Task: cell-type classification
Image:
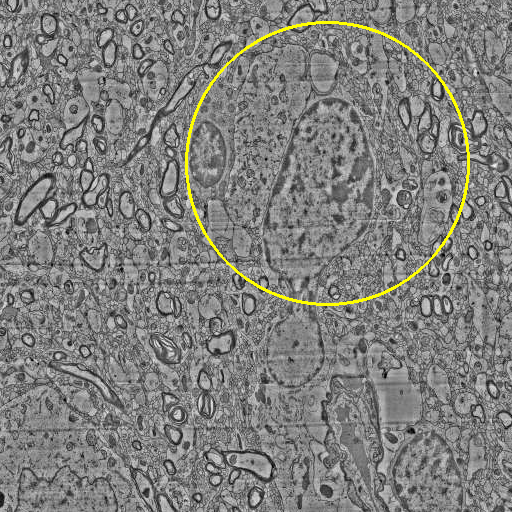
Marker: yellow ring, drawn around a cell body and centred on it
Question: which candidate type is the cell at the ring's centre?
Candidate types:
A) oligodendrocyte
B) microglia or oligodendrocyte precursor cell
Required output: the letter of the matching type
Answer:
B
